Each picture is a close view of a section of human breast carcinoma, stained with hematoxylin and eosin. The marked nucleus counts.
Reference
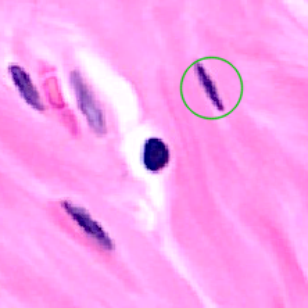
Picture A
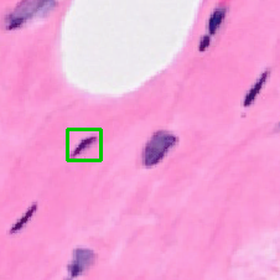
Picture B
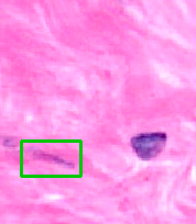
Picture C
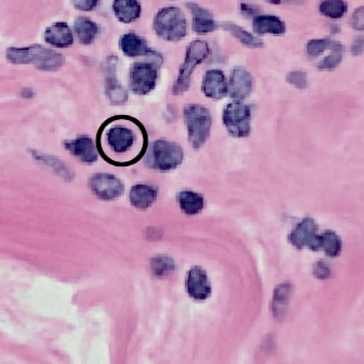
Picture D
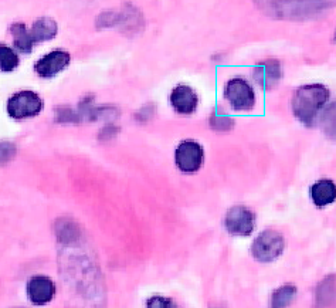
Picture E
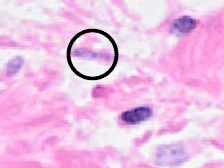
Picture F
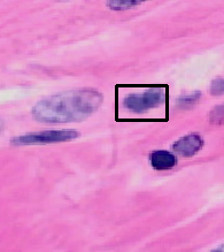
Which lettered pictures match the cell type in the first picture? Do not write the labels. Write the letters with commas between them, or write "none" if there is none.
A, B, E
